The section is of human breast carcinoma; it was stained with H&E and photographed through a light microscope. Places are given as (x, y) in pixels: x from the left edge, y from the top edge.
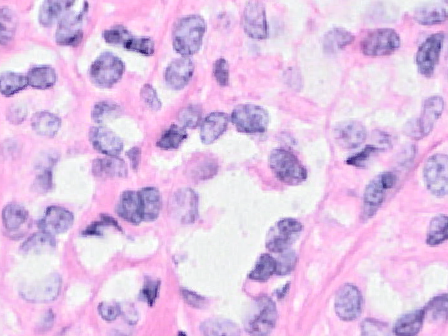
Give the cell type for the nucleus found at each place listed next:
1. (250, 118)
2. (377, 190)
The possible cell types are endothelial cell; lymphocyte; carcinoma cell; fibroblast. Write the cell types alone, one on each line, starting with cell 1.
carcinoma cell
endothelial cell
